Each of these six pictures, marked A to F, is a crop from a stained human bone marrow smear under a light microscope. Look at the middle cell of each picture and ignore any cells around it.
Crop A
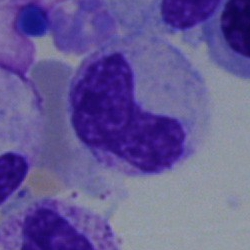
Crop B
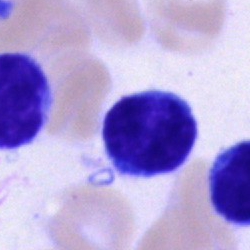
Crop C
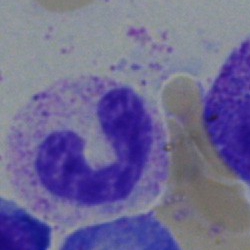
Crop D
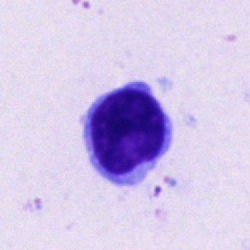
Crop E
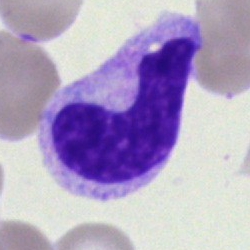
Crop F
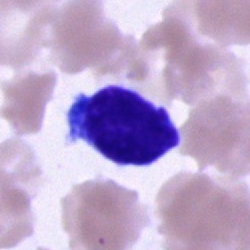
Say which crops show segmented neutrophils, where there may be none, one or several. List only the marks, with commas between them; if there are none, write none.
none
